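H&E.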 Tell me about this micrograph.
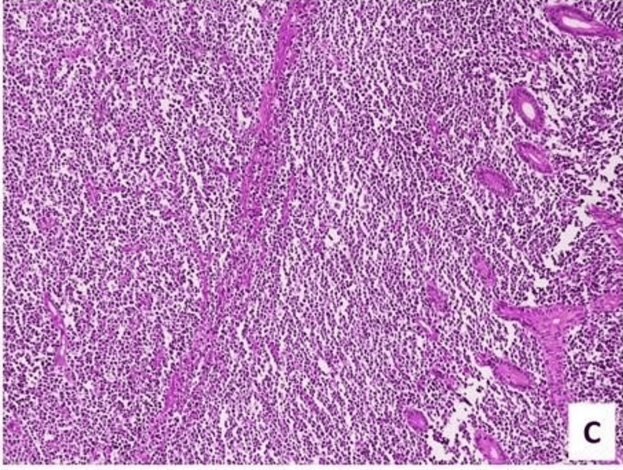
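The cells are monotonous and lie close together, with no follicles. Thin pink strands of stroma or smooth muscle cross the sheet. On the right, a few small glands with pink epithelium are surrounded by the infiltrate.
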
